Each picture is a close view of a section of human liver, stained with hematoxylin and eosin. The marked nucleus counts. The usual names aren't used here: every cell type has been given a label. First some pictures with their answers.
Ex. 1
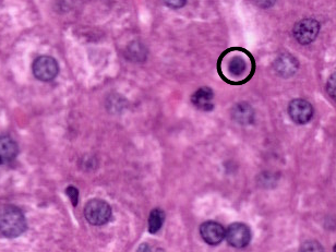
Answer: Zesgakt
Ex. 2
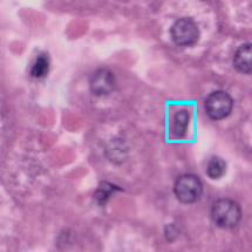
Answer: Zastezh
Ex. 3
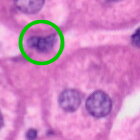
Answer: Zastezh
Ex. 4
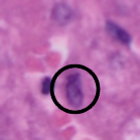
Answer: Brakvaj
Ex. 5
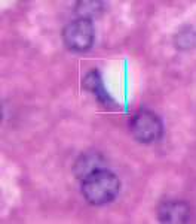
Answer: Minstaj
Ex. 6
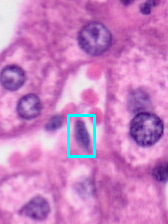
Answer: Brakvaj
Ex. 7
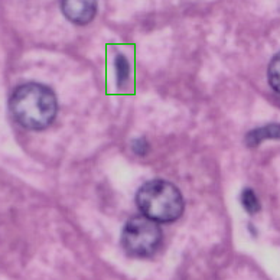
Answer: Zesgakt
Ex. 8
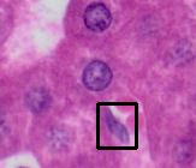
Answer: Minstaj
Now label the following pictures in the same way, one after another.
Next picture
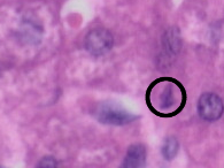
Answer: Zastezh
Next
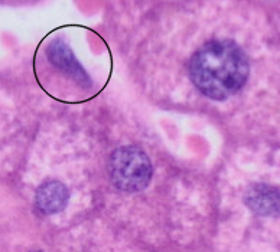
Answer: Brakvaj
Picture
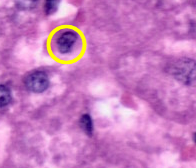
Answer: Brakvaj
